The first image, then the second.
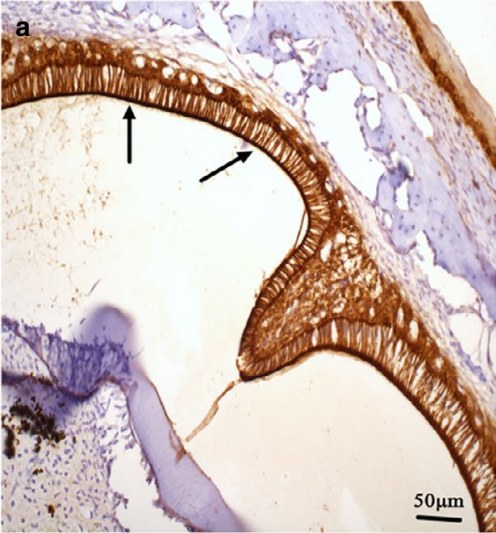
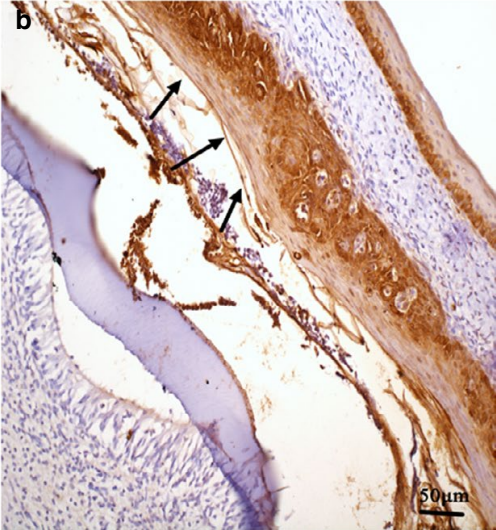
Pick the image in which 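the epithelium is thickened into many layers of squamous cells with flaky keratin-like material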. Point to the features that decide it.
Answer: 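Second image: a thick multilayered brown band of polygonal cells with loose brown flakes along its inner side. First image: a single regular palisade of tall columnar brown-stained cells with a smooth inner surface.
The second image.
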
